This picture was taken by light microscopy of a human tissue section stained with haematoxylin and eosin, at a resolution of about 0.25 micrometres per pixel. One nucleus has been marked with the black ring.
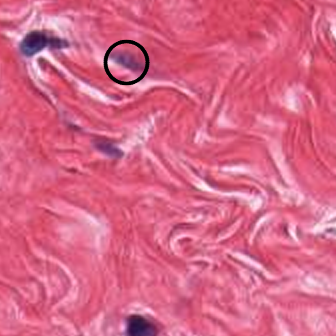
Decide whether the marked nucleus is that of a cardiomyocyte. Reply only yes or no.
no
